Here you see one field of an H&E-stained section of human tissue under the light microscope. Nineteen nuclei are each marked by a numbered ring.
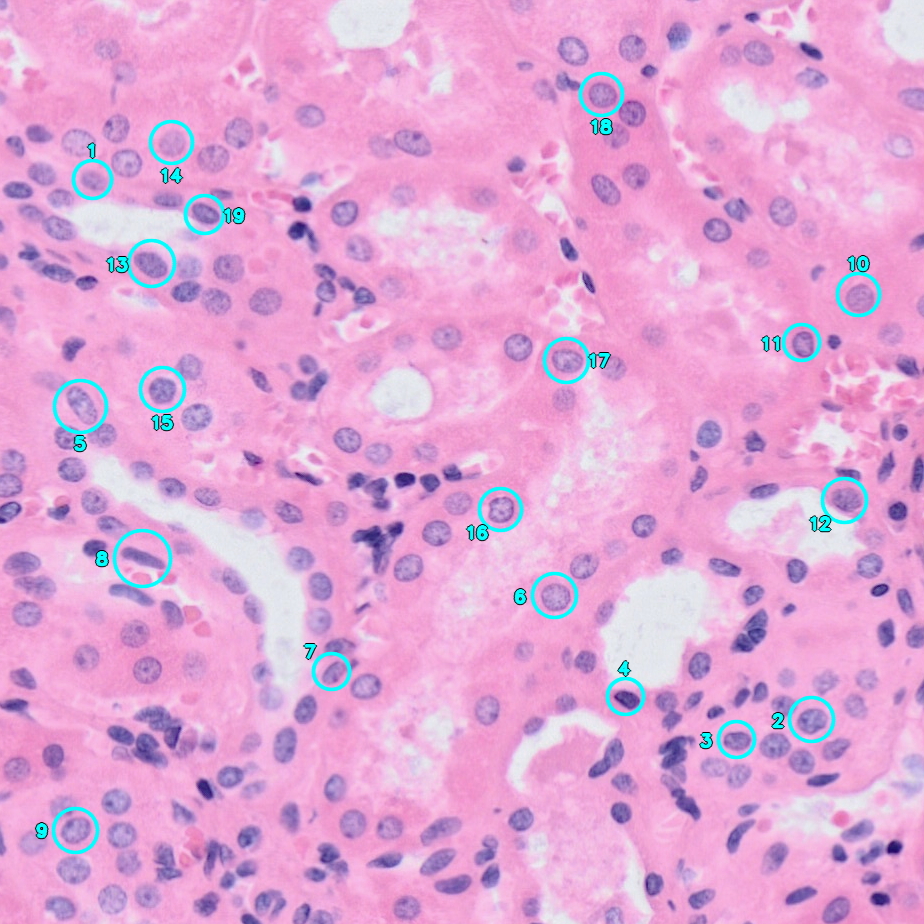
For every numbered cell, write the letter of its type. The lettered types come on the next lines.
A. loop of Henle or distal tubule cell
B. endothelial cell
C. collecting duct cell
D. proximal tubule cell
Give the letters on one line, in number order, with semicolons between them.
C; A; A; A; C; D; C; B; A; D; D; A; C; D; A; D; D; D; C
